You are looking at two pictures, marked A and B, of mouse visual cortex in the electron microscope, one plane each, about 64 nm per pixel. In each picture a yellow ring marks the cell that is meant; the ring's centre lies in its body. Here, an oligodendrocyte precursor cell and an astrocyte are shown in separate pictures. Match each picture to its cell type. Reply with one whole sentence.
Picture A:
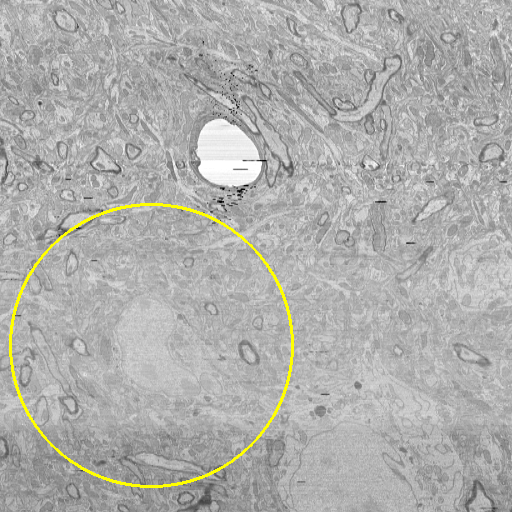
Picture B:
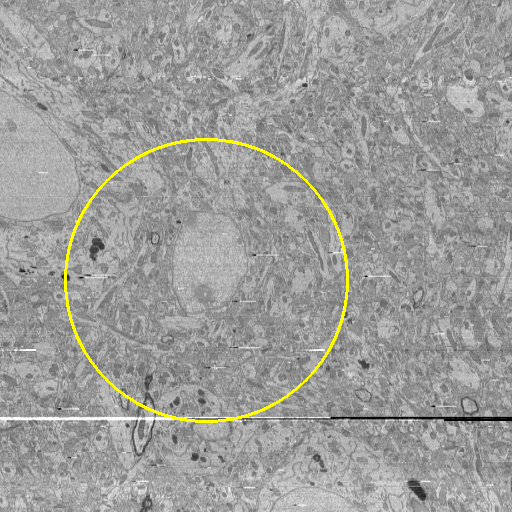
Picture A shows an oligodendrocyte precursor cell and picture B shows an astrocyte.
